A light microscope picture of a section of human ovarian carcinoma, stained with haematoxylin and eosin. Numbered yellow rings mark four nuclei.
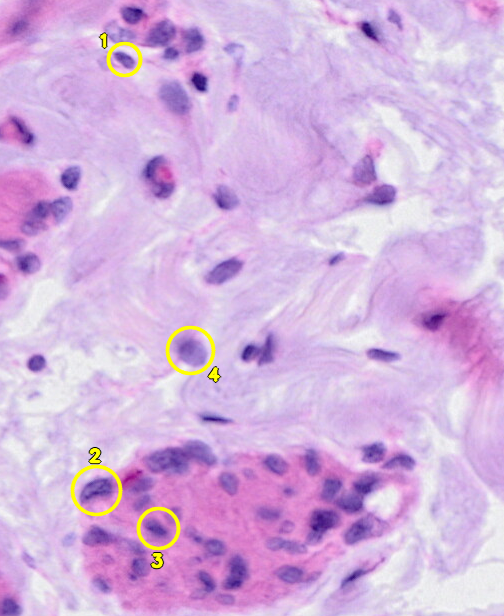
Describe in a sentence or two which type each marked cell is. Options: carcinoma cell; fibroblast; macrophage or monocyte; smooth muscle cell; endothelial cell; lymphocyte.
Cell 1 is a lymphocyte. Cell 2 is an endothelial cell. Cell 3 is a smooth muscle cell. Cell 4 is a fibroblast.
